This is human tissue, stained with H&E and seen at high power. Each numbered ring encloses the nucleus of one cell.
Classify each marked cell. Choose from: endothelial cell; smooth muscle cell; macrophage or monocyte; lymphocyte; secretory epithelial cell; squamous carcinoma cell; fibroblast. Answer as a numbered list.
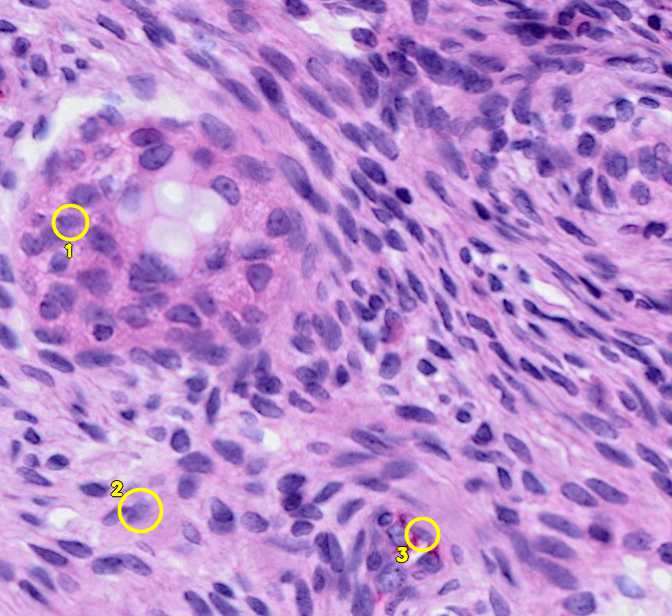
1. secretory epithelial cell
2. fibroblast
3. endothelial cell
